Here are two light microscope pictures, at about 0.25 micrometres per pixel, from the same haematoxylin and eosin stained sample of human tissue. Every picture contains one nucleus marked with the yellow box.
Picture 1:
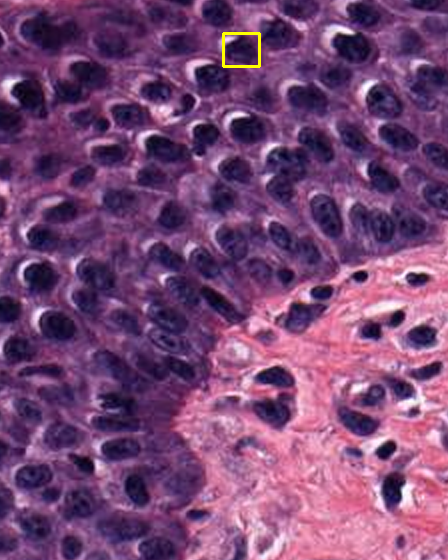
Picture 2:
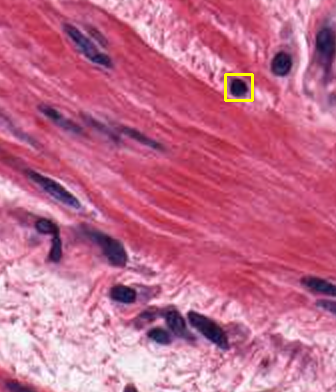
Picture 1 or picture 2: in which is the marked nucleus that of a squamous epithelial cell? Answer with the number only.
1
